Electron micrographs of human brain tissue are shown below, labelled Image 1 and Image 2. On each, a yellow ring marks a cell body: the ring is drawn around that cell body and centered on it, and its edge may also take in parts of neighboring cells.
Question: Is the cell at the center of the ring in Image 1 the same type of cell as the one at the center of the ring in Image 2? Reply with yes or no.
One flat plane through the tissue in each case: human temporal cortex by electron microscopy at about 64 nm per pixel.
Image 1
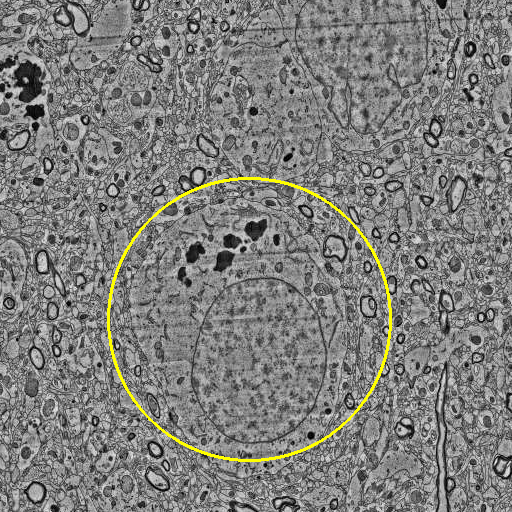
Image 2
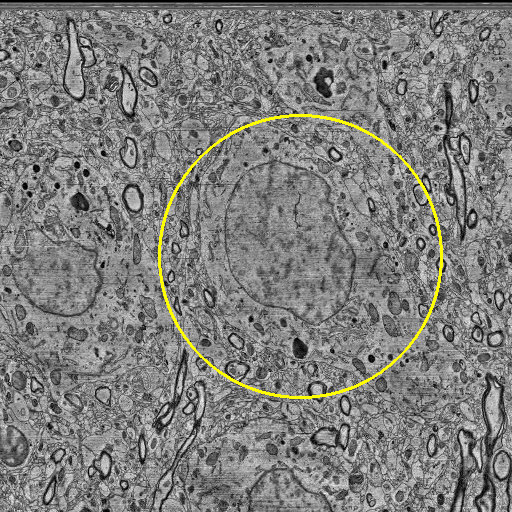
yes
